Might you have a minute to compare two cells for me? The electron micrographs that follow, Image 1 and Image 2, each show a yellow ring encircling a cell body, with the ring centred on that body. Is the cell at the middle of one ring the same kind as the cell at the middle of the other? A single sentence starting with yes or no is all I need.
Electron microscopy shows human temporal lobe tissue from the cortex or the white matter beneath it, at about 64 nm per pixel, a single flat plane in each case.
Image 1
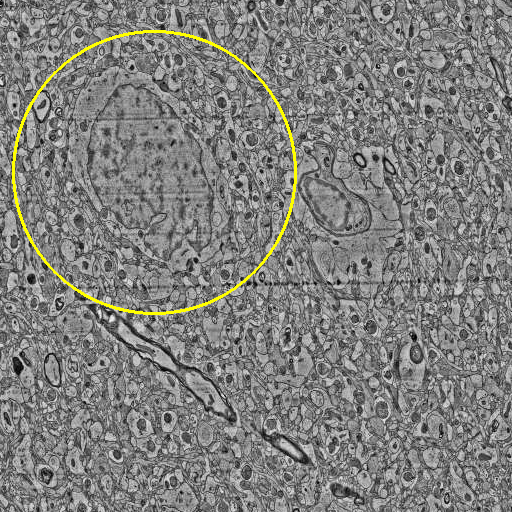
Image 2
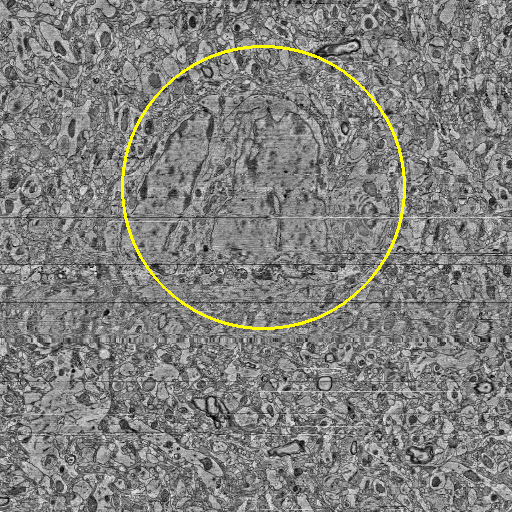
Yes, the cells in the middle of the two rings are of one shared kind.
